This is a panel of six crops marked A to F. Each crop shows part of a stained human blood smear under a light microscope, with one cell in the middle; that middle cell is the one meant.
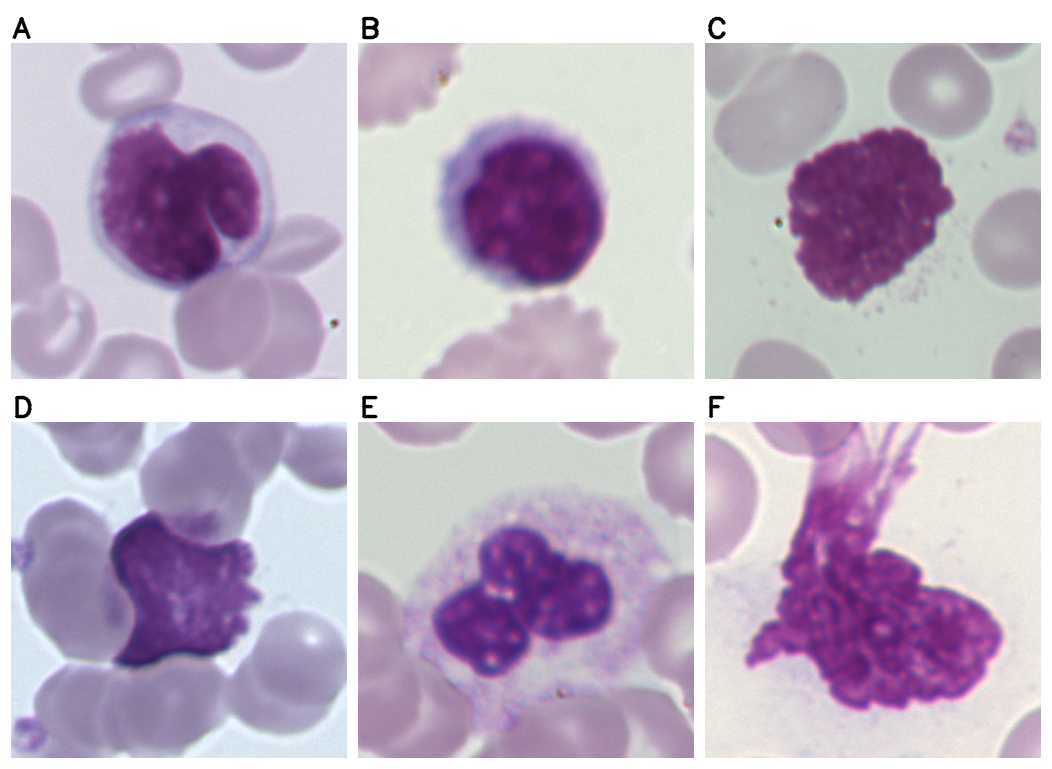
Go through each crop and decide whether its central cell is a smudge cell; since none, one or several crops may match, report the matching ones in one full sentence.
In this set, crops C, D and F show smudge cells.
